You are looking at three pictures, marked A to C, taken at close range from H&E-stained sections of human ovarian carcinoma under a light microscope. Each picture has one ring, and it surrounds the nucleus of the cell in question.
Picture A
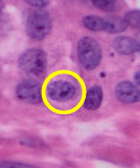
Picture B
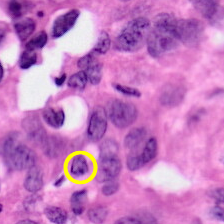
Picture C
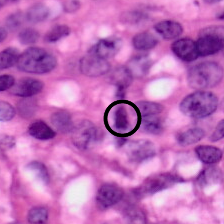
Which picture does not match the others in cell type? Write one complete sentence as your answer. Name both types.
The different one is picture C; it shows a carcinoma cell, whereas all the others show “macrophages or monocytes”.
